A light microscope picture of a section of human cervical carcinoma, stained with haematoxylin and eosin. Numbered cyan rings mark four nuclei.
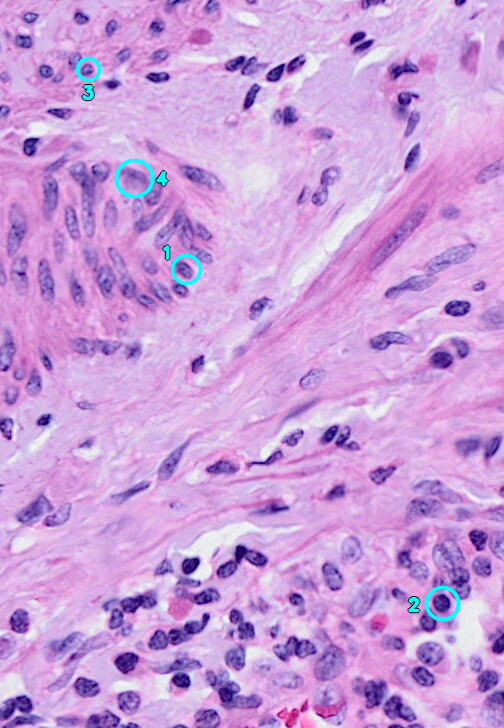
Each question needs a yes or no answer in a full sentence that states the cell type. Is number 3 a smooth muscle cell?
Yes, cell 3 among the marked cells is a smooth muscle cell.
